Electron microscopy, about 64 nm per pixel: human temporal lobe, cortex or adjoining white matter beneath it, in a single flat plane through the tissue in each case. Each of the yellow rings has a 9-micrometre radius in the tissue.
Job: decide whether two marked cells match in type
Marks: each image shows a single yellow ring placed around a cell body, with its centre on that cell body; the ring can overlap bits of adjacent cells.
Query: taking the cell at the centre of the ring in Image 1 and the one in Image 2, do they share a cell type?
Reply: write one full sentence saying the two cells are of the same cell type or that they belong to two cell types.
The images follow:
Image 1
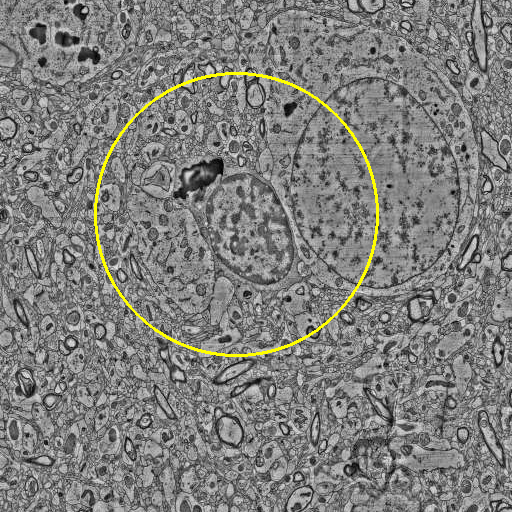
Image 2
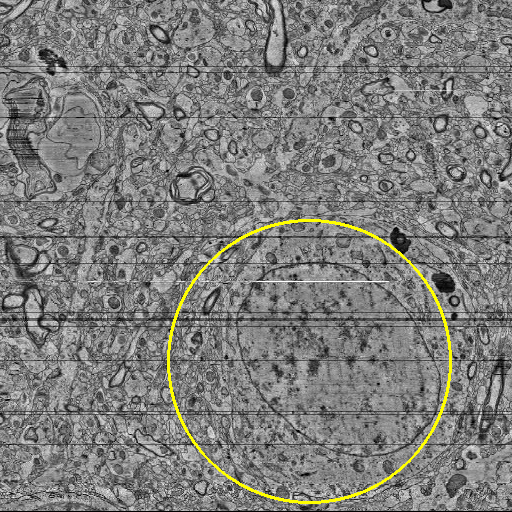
The cells at the ring centres in Image 1 and Image 2 belong to two cell types.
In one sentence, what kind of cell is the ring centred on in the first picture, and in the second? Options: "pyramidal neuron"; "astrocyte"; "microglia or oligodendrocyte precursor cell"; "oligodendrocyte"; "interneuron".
The cell at the centre of the second ring is a pyramidal neuron; the first ring's cell is an oligodendrocyte.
